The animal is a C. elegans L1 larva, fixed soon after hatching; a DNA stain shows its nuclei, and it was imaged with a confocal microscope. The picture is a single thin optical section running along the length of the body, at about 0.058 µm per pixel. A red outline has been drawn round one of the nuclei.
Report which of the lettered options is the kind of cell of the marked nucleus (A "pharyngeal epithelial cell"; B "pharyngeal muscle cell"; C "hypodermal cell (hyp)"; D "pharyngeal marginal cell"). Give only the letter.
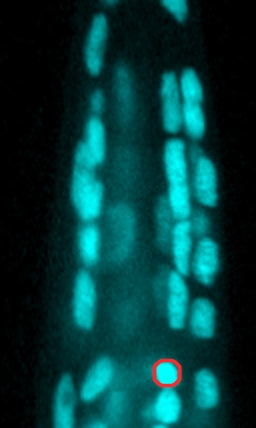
B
